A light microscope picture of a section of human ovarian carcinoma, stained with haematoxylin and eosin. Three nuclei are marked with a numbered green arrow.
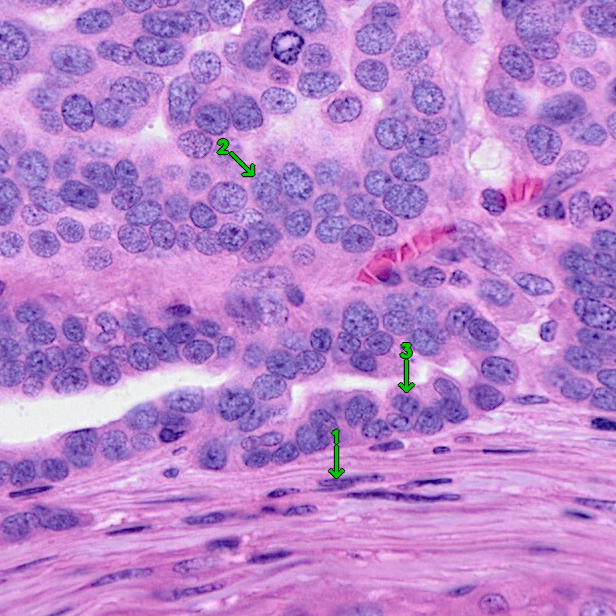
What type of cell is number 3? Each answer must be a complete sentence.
The cell indicated by marker 3 is a carcinoma cell in this section.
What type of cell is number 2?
Marked with the number 2, this cell is a carcinoma cell.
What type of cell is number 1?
Number 1 is placed on a fibroblast here.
